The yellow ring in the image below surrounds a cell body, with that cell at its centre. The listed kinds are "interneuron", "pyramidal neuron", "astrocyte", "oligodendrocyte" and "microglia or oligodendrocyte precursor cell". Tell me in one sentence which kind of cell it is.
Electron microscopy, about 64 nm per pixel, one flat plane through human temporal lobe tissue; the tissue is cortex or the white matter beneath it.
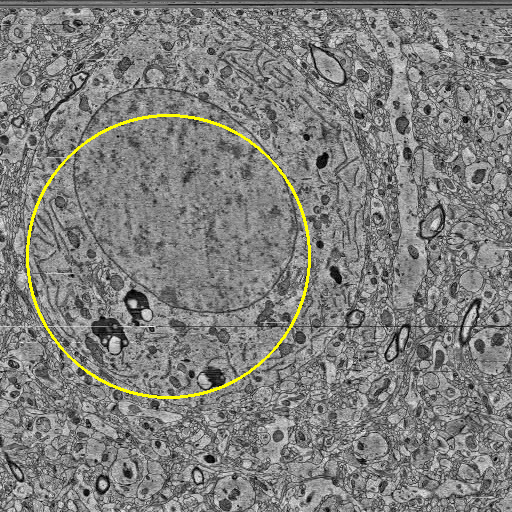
The centre of the ring holds a pyramidal neuron.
